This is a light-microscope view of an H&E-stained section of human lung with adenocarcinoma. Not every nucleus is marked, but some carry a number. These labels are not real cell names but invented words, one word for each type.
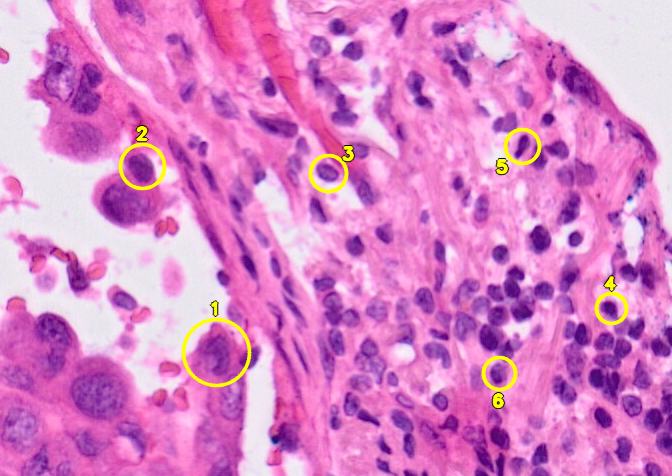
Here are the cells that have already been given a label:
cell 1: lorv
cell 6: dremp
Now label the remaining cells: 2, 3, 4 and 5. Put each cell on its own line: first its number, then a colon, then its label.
2: lorv
3: dremp
4: dremp
5: dremp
